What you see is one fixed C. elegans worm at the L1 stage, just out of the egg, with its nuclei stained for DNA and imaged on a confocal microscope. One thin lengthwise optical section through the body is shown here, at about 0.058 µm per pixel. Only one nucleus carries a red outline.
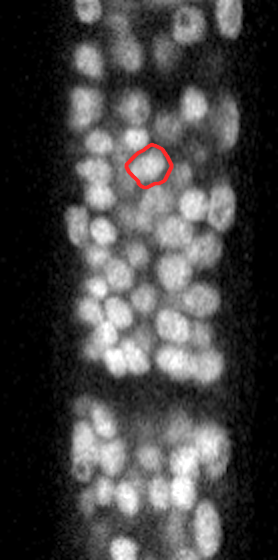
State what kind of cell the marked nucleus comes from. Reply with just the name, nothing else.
pharyngeal muscle cell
